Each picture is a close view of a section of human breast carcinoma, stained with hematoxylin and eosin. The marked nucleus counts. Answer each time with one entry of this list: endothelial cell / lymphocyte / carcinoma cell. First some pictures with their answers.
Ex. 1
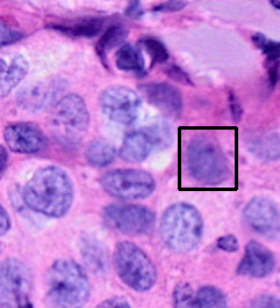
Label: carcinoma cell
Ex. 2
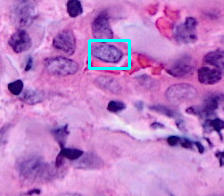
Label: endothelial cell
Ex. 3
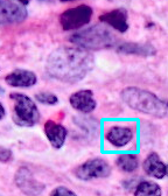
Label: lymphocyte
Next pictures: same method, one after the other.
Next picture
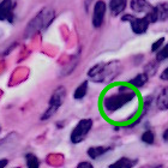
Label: lymphocyte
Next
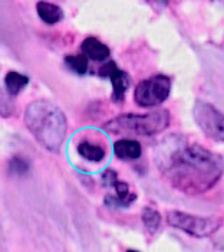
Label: lymphocyte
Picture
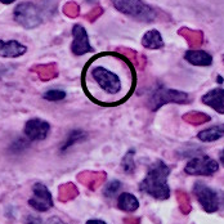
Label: lymphocyte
